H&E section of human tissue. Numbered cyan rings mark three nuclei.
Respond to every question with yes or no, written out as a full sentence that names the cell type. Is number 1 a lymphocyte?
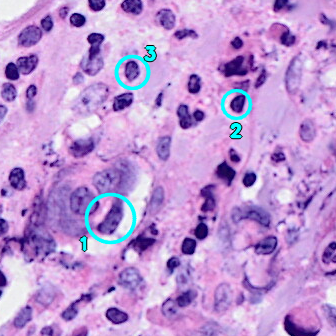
No, the cell tagged 1 is a carcinoma cell, and not a lymphocyte.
